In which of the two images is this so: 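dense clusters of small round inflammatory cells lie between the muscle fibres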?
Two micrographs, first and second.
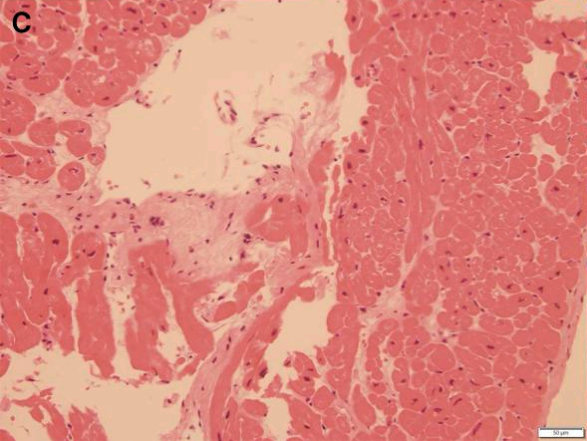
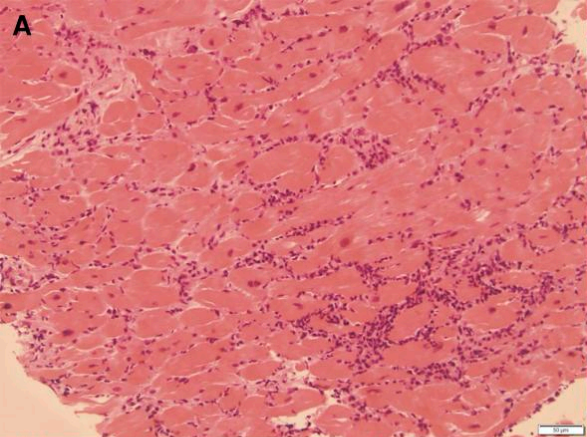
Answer: The second image.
